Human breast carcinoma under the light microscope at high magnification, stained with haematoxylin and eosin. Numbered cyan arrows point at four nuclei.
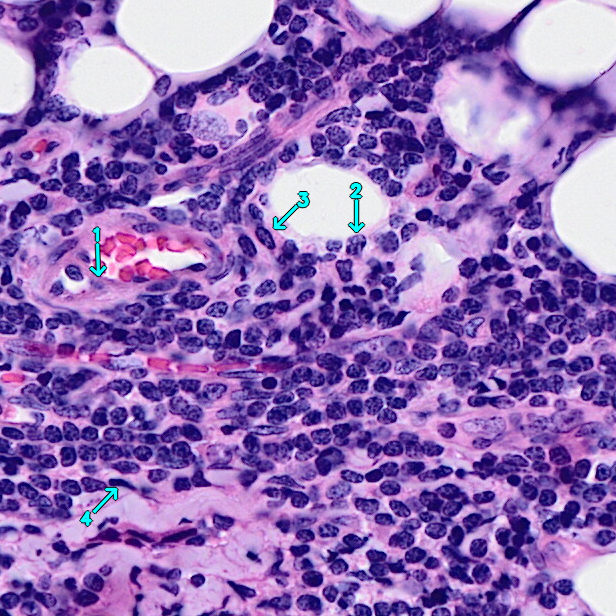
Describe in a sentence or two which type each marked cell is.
Cell 1 is an endothelial cell, cell 2 is a lymphocyte, cell 3 is a lymphocyte and cell 4 is a lymphocyte.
